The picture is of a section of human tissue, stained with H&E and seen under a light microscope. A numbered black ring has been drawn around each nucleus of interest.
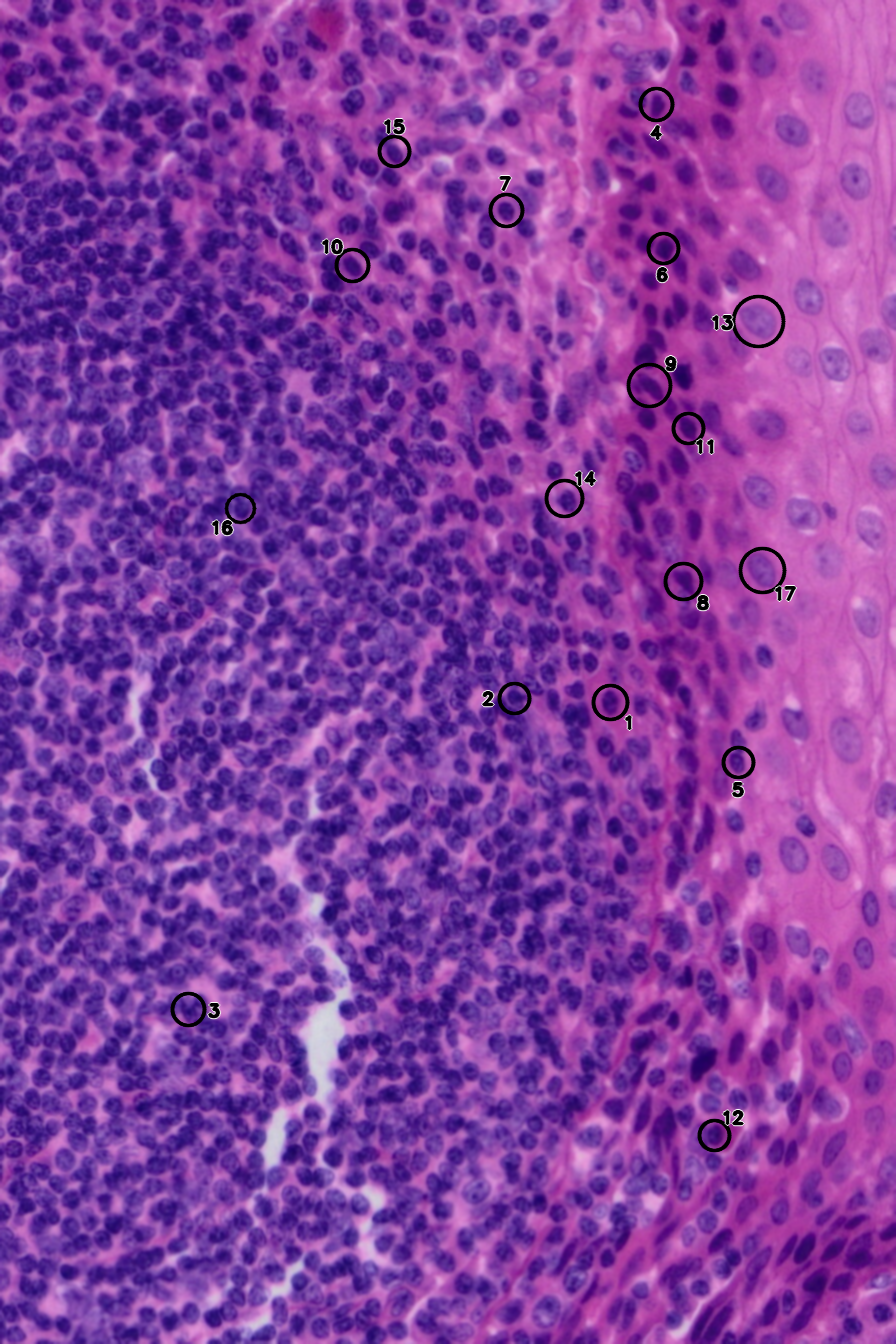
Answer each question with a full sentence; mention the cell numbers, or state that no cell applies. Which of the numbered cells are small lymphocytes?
The cells shown with numbers 2, 3 and 16 are small lymphocytes.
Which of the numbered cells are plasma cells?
The cells 1, 7, 10, 12, 14 and 15 in this section are plasma cells.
